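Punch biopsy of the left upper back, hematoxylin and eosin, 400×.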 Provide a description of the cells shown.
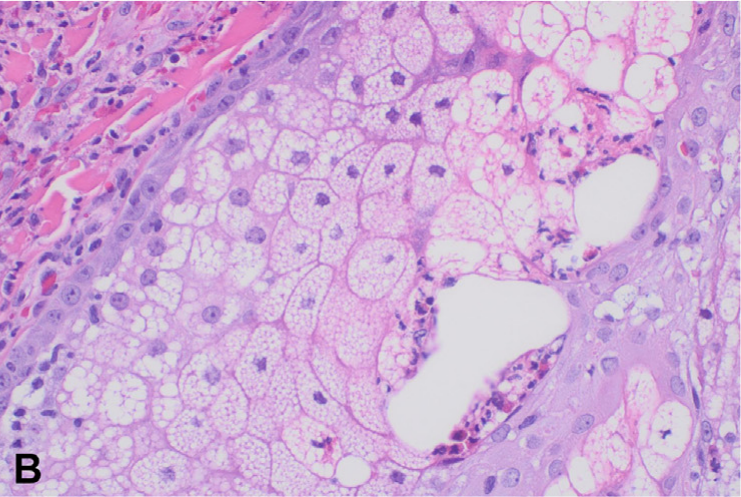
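At higher power the sebaceous lobule shows large polygonal cells with a foamy, finely vacuolated cytoplasm and small dark central nuclei. The lobule is bordered by a thin basophilic epithelial rim next to pink dermal collagen. Empty-looking spaces inside it contain small inflammatory cells with bright red granules and lobed nuclei, fitting eosinophils with neutrophils within the pilosebaceous unit.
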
